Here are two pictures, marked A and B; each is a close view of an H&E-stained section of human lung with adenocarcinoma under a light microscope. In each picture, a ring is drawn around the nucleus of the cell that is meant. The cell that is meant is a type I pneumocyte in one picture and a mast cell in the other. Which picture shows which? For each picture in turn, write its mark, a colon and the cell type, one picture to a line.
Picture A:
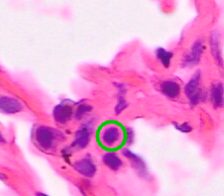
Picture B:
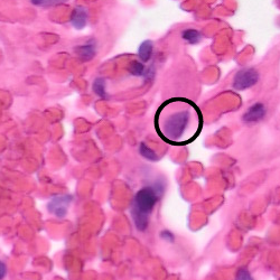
A: mast cell
B: type I pneumocyte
